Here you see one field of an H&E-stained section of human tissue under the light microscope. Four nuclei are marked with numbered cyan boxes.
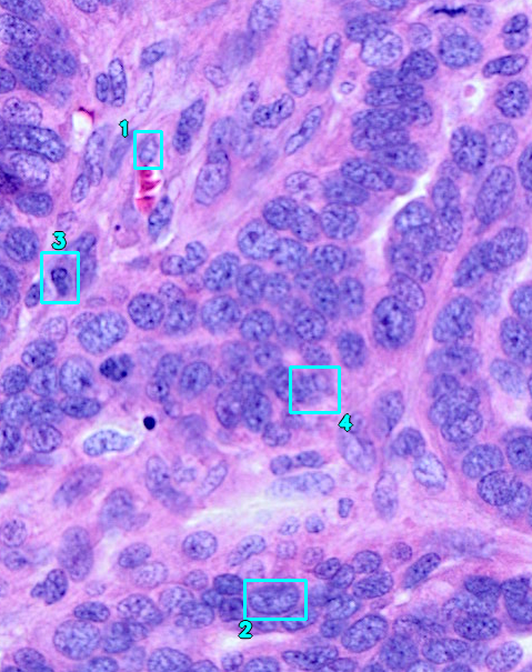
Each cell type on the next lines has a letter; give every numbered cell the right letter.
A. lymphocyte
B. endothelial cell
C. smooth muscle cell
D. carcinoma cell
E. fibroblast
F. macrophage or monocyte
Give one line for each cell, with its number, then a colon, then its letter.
1: B
2: D
3: F
4: D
